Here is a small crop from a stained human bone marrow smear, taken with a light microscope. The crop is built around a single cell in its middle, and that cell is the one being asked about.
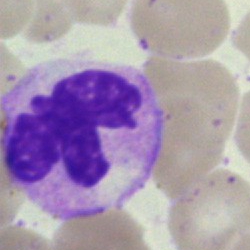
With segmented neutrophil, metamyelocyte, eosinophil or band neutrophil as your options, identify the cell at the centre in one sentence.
Whatever else lies nearby, the middle cell is a segmented neutrophil.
